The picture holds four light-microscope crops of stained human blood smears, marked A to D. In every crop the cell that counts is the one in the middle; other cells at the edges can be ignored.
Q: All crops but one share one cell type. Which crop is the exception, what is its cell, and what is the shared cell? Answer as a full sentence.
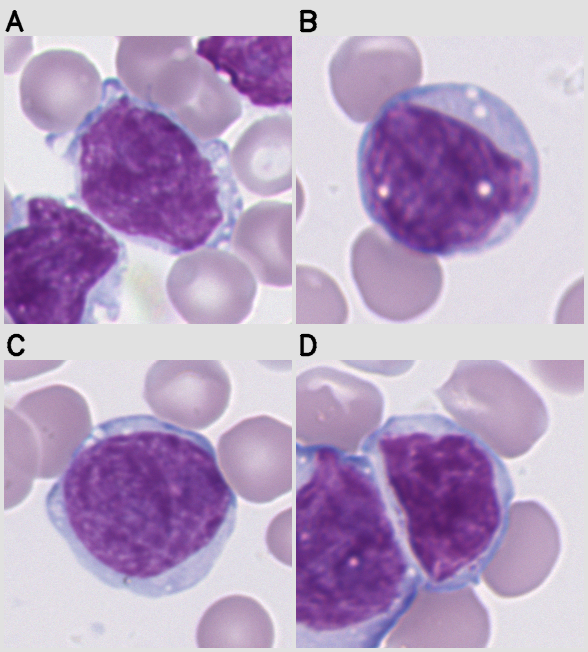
The outlier here is crop A, which is a lymphocyte, while the remainder show blasts.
